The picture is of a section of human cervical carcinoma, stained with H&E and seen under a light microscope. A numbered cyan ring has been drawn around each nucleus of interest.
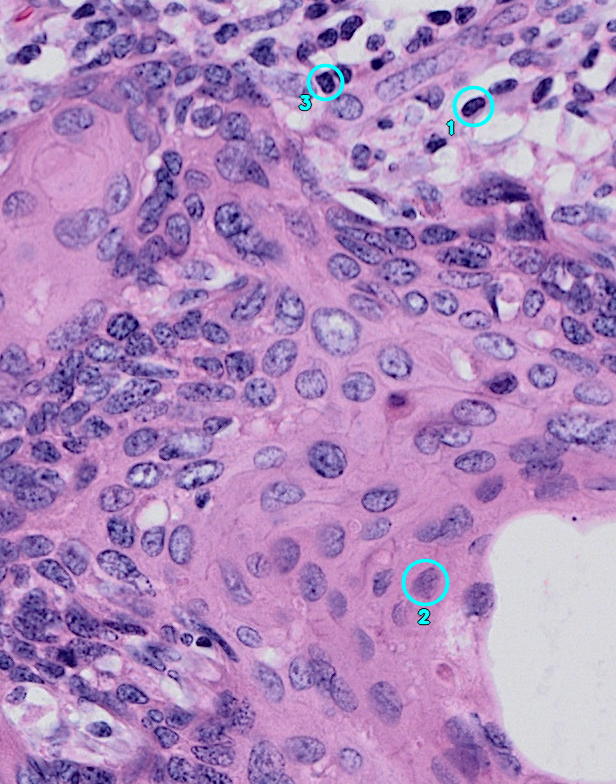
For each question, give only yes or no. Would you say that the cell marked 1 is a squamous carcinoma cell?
no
